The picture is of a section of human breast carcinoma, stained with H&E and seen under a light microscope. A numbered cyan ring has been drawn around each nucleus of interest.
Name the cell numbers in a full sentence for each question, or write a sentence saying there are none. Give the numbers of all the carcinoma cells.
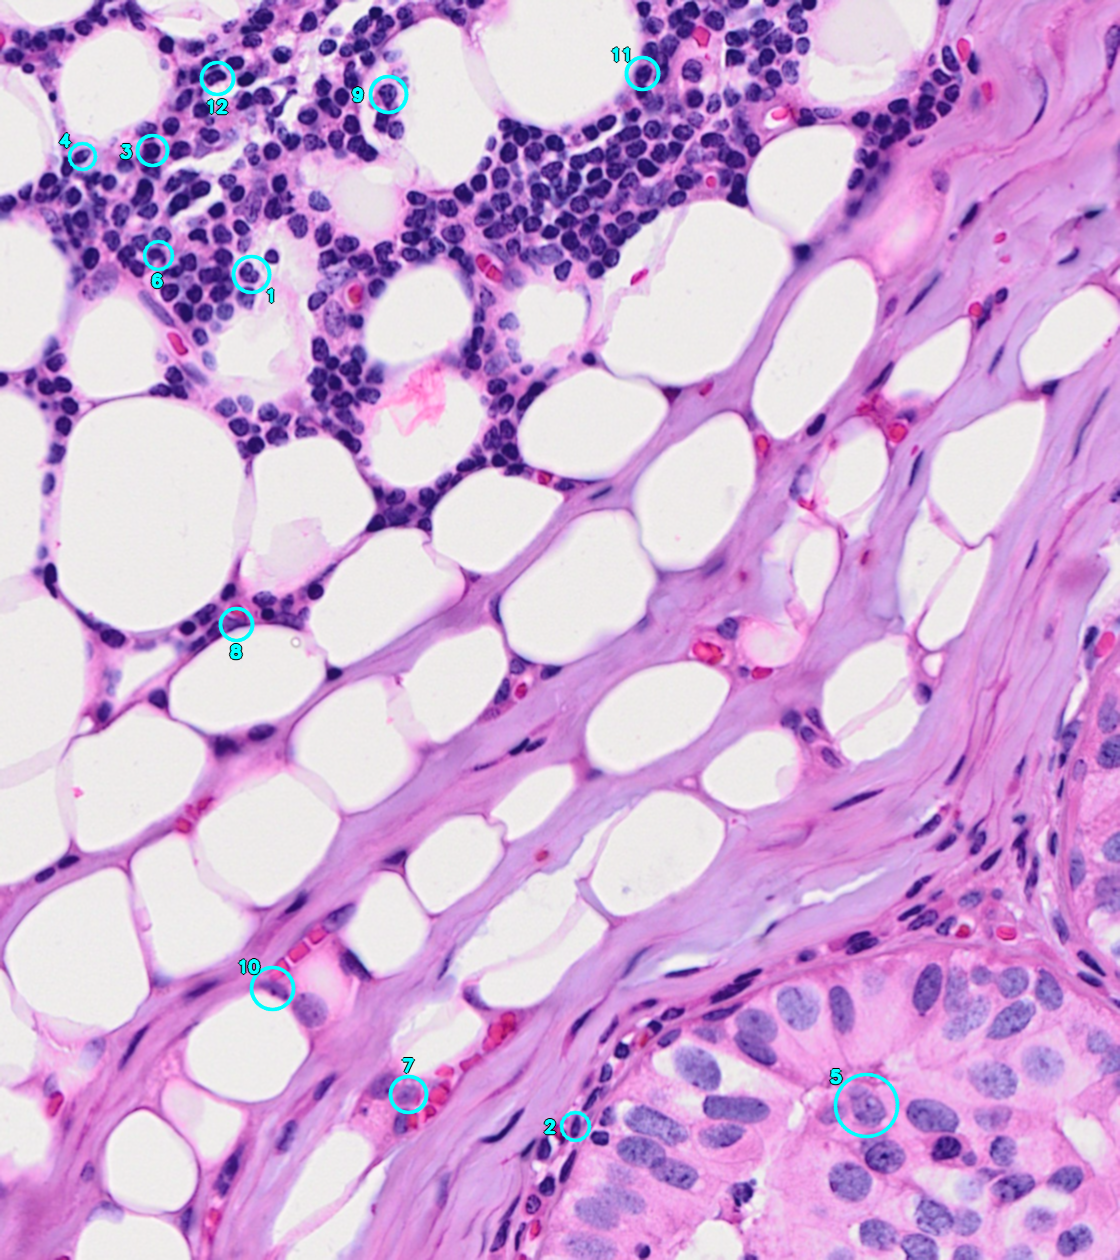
Cell 5 is a carcinoma cell, whereas each of the other numbered cells is not.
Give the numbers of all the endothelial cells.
Cells 2, 7, 8 and 10 in the section are typed as endothelial cells.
